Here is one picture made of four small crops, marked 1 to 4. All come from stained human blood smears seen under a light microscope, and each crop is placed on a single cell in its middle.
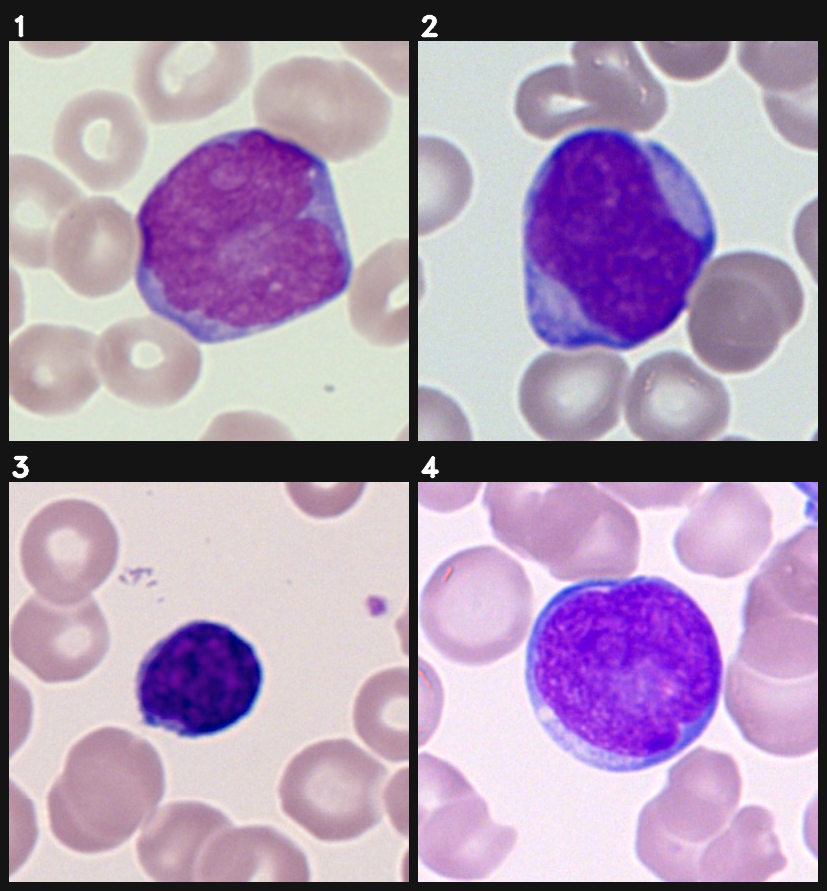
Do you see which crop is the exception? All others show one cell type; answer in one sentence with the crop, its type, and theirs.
Crop 3 differs: it is a lymphocyte, and all the other crops show blasts.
